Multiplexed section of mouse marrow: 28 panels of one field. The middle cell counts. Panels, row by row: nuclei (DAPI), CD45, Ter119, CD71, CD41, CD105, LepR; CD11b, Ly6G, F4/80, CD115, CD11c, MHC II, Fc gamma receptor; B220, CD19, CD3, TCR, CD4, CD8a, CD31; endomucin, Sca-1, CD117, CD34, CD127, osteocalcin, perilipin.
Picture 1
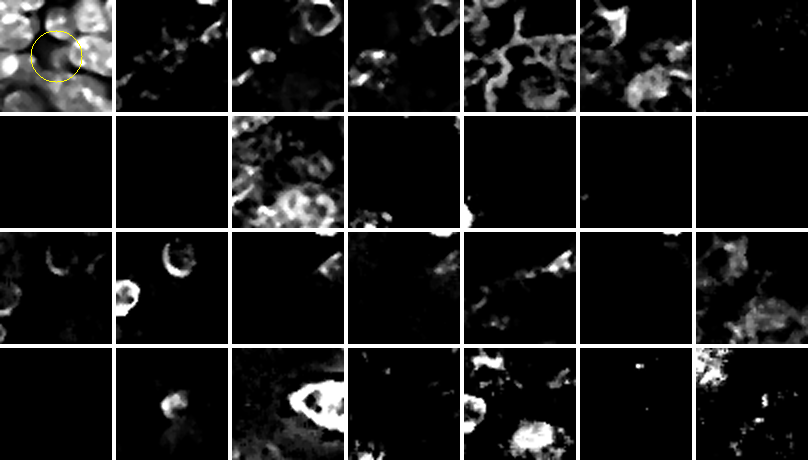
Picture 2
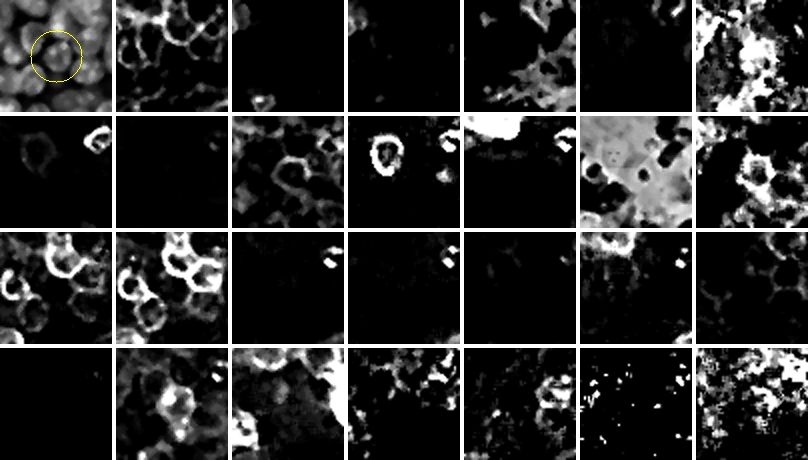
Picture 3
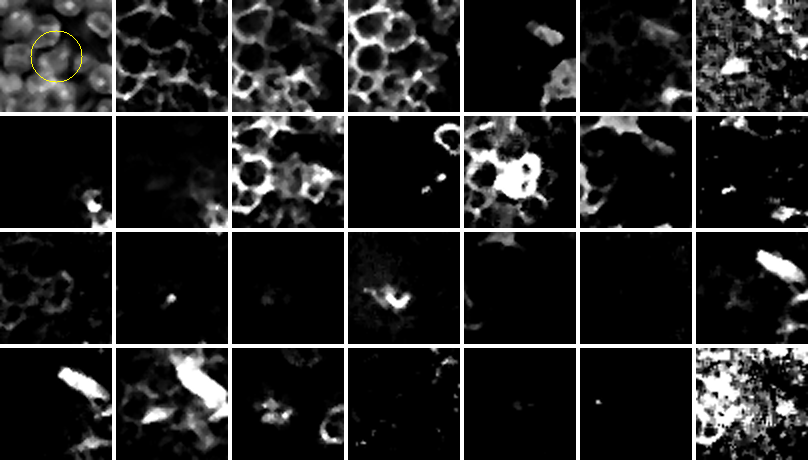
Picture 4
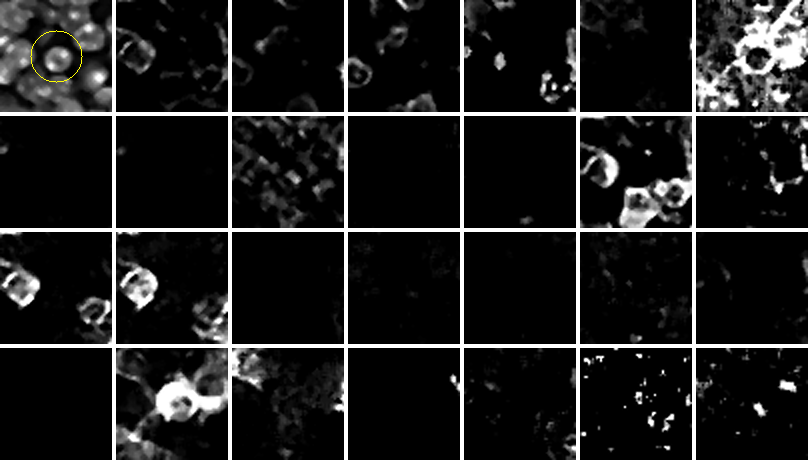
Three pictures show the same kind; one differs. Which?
Picture 1: a KLS stem or progenitor cell, while the others are LepR-positive perivascular cells.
